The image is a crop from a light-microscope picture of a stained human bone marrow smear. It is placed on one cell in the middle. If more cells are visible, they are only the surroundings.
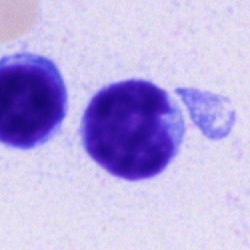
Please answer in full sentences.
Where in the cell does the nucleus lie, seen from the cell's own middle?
Seen from the middle of the cell, the nucleus lies toward the left.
